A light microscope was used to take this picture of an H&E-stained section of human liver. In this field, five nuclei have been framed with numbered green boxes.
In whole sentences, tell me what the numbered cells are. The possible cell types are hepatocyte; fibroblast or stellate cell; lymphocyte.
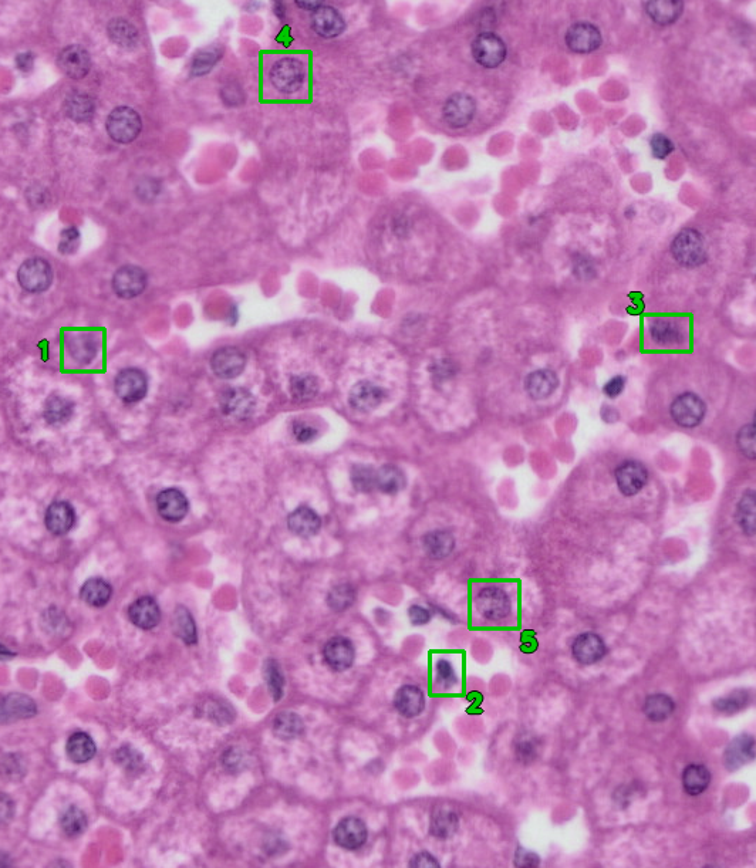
Cells 1, 4 and 5 are hepatocytes. Cell 2 is a lymphocyte. Cell 3 is a fibroblast or stellate cell.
